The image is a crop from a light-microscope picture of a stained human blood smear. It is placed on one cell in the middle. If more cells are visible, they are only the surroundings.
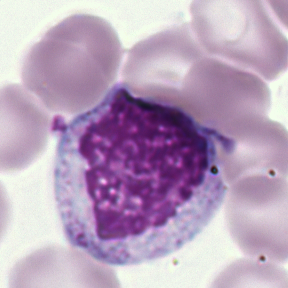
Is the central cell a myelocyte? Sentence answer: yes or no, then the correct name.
Yes, the cell in the middle of this smear crop is a myelocyte.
